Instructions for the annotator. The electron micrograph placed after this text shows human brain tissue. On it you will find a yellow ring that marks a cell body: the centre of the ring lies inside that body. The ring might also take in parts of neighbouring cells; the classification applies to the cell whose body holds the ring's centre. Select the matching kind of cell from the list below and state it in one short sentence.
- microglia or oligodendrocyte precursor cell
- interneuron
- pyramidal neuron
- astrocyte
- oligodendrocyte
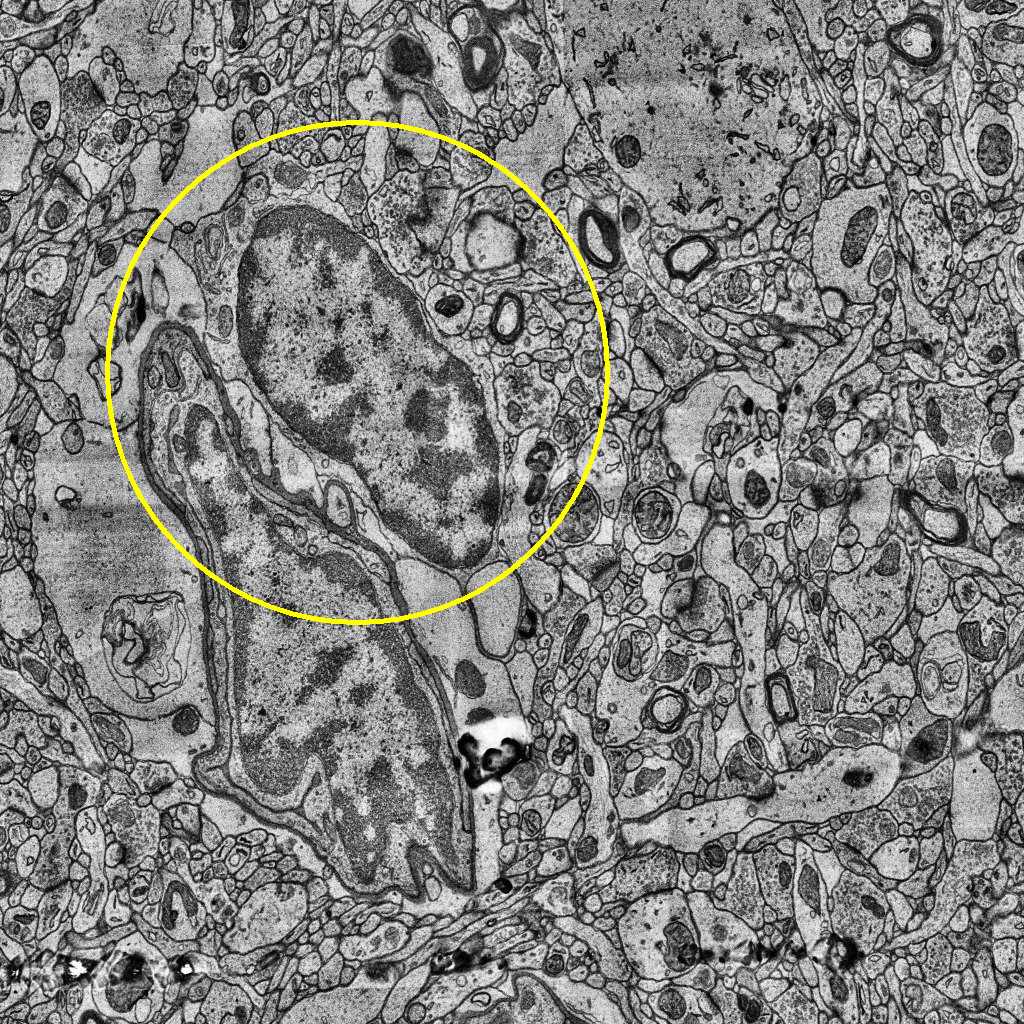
The centre of the ring lies in the cell body of a microglial cell or oligodendrocyte precursor cell.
